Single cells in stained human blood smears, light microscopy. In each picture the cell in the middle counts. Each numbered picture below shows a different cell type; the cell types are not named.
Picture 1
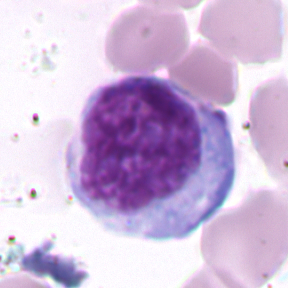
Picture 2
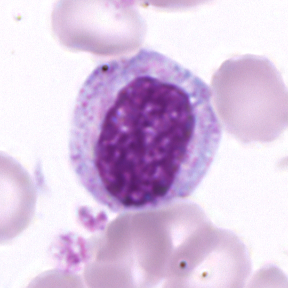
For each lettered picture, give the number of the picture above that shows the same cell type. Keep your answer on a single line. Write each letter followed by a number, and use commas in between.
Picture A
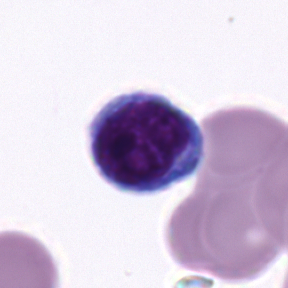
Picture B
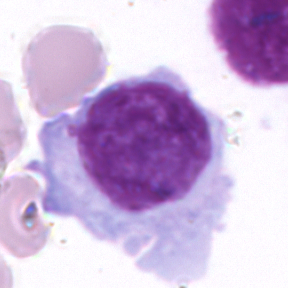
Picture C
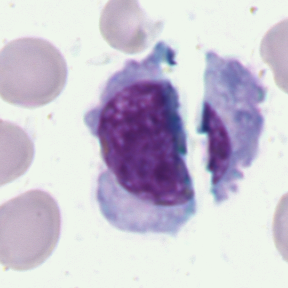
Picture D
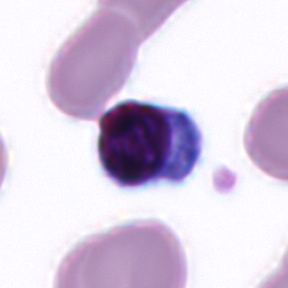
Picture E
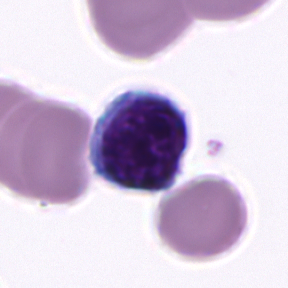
A 1, B 1, C 1, D 1, E 1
